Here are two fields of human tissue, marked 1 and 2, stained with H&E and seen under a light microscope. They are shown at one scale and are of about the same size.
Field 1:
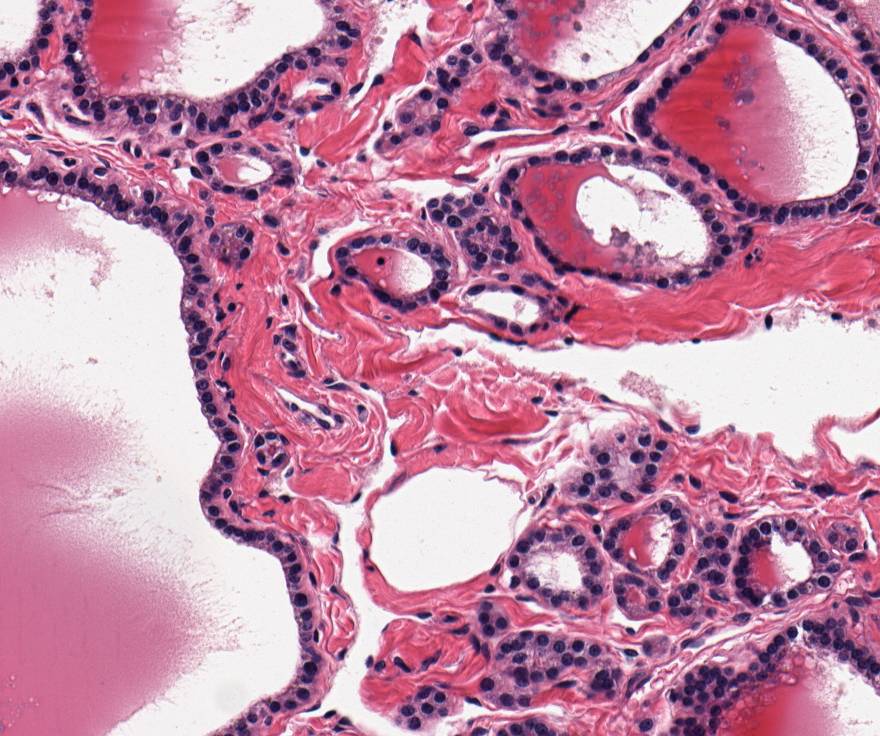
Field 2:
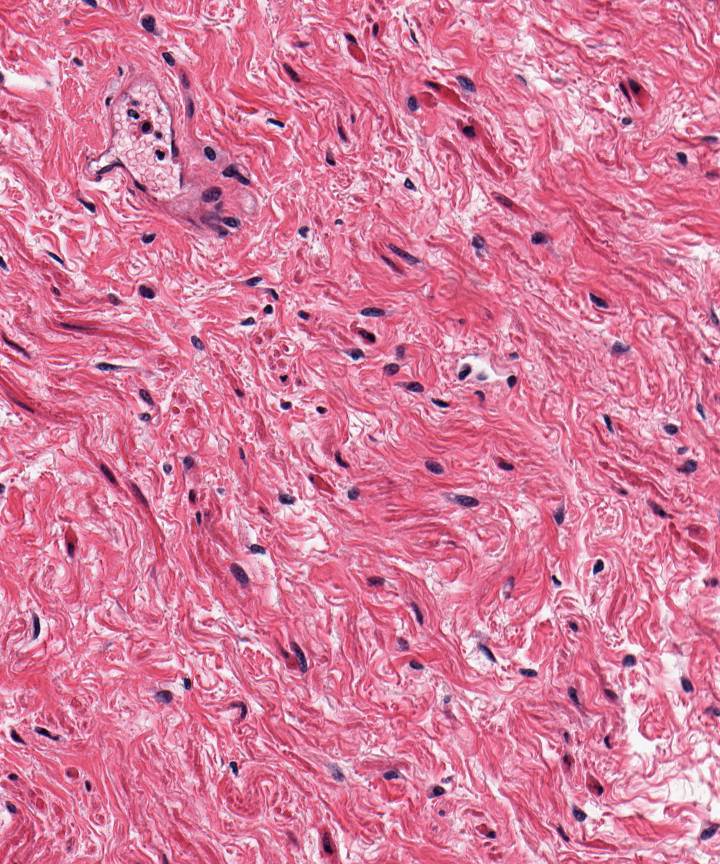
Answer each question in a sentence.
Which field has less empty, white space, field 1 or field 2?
Less of field 2 is empty and white.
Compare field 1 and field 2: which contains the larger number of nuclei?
More nuclei lie in field 1 than in field 2.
